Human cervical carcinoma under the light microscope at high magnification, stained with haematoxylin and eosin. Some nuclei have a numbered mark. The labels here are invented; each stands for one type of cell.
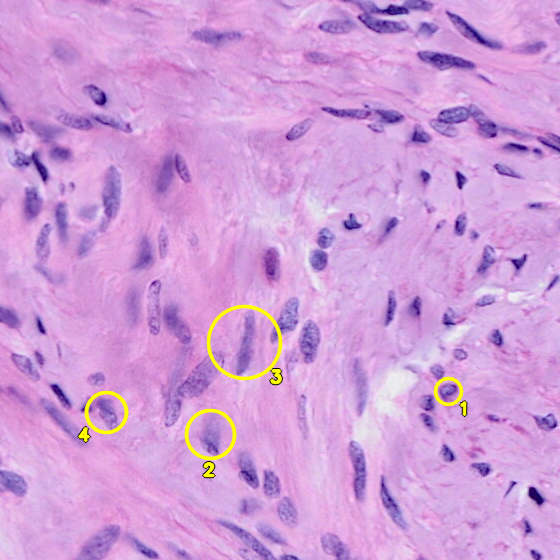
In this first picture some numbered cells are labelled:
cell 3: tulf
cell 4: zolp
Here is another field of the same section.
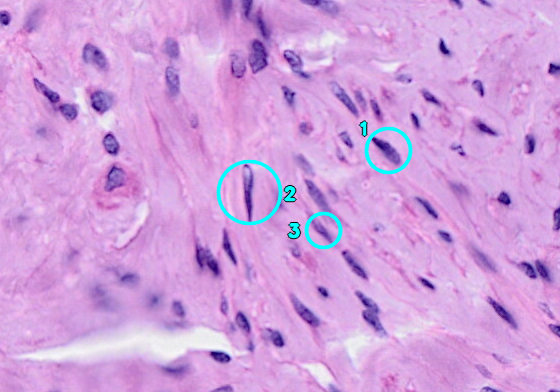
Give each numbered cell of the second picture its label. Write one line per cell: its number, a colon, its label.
1: tulf
2: tulf
3: zolp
